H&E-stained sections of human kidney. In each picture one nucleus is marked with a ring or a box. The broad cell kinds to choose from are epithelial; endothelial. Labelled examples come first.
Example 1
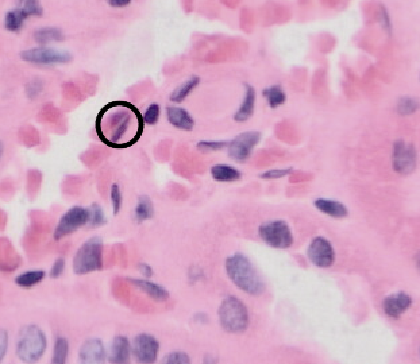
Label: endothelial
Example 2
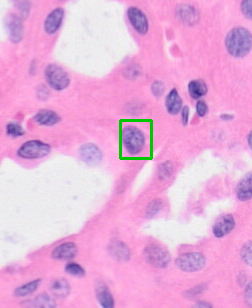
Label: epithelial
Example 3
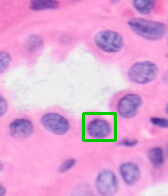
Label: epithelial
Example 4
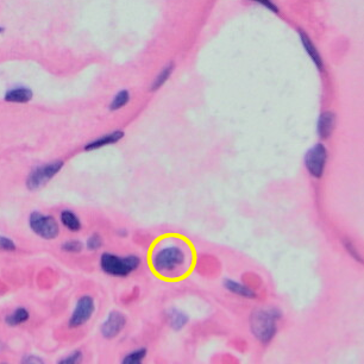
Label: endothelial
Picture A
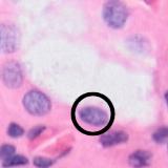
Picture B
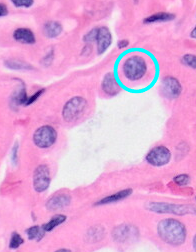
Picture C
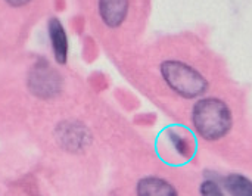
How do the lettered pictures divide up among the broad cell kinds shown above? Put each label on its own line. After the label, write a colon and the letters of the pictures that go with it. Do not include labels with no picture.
epithelial: A, B
endothelial: C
